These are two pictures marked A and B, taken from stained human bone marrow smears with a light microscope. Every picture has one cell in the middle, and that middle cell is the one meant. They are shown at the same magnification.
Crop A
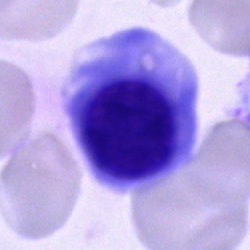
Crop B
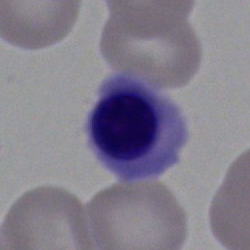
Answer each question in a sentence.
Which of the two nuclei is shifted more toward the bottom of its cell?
In crop A the nucleus is shifted more toward the bottom.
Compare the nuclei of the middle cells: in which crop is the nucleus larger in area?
Larger is the nucleus in crop A, at roughly 2 times the area of the other.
